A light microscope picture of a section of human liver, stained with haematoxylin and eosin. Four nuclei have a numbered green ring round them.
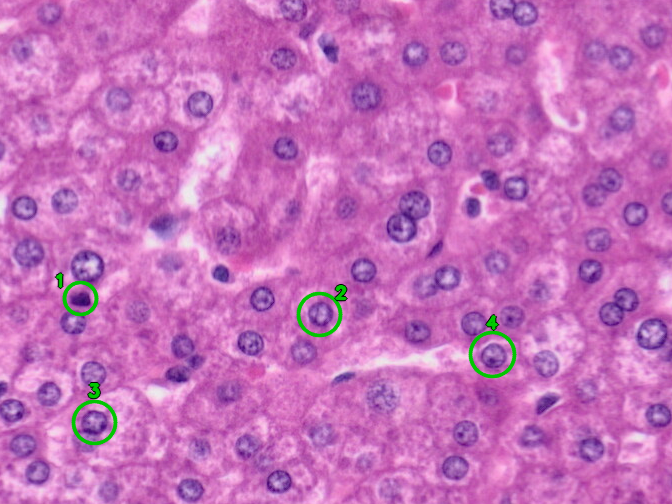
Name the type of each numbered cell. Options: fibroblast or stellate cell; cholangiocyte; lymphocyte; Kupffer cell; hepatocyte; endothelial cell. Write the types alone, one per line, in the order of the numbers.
fibroblast or stellate cell
hepatocyte
hepatocyte
hepatocyte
